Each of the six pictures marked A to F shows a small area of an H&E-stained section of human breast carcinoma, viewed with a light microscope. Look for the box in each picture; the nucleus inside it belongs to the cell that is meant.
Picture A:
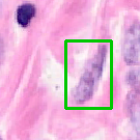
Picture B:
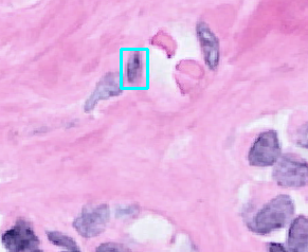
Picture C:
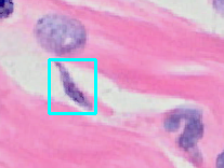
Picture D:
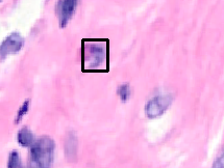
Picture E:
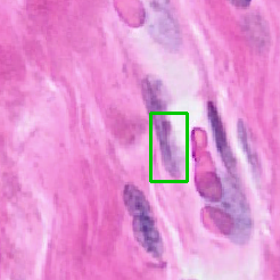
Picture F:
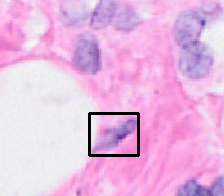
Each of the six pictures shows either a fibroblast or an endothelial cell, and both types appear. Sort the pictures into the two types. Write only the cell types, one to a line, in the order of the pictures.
fibroblast
endothelial cell
fibroblast
endothelial cell
endothelial cell
fibroblast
